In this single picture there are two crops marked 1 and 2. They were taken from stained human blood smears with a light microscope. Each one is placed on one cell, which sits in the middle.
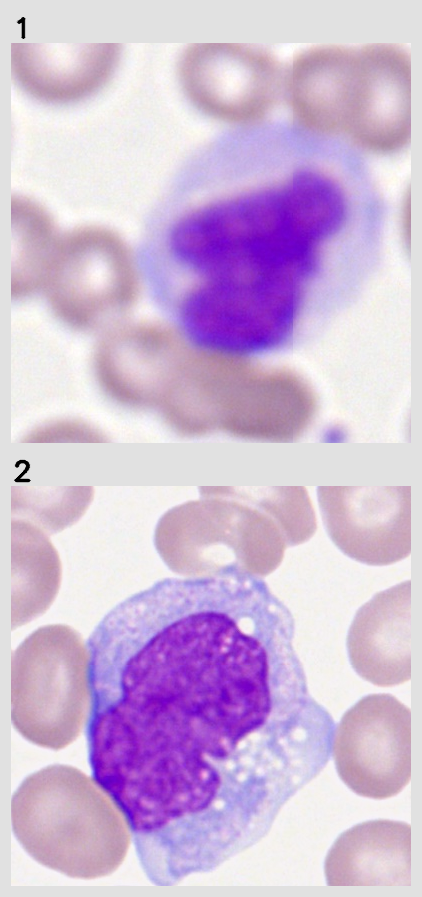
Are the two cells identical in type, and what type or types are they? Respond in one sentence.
Yes, the two crops are alike in showing monocytes.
